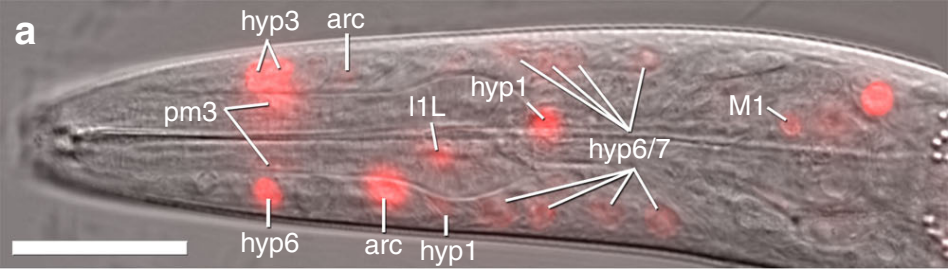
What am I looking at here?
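This is the head of a nematode larva in differential interference contrast, with the mouth at the left and the long narrow pharynx running back along the body's midline. Many round red nuclei lie along both sides of the pharynx and beneath the body wall, belonging to epidermal cells, pharyngeal cells and neurons. The pharyngeal lumen appears as a thin line through the centre of the head.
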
